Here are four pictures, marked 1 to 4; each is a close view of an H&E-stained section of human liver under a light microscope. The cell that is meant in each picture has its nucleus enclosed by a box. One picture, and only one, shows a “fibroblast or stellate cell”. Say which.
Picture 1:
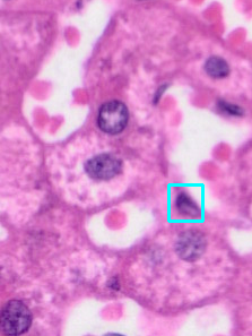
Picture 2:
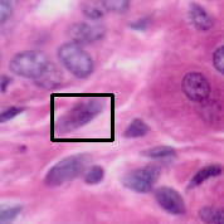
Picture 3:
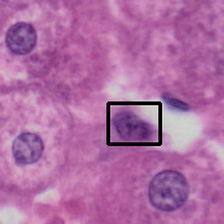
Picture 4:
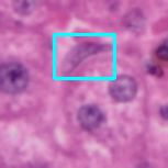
2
